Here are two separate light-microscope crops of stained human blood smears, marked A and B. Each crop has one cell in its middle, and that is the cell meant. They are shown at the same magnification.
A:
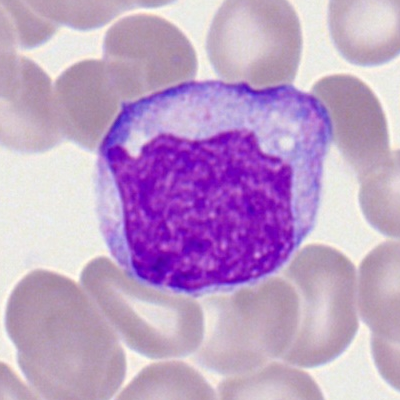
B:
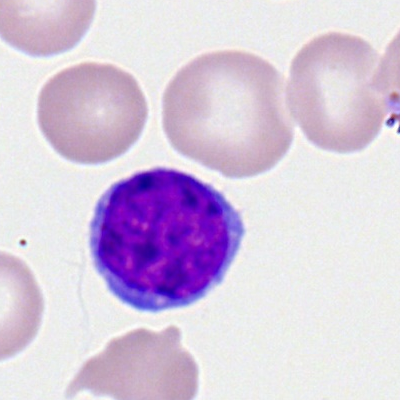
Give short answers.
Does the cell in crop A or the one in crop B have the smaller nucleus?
B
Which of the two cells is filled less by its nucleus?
A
